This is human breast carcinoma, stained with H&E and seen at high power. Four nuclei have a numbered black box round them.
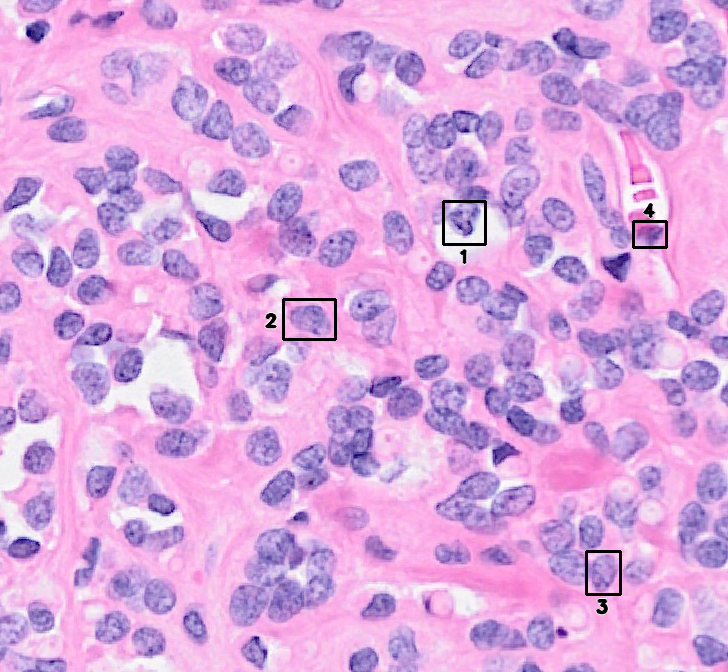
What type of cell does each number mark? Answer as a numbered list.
1. carcinoma cell
2. carcinoma cell
3. carcinoma cell
4. endothelial cell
